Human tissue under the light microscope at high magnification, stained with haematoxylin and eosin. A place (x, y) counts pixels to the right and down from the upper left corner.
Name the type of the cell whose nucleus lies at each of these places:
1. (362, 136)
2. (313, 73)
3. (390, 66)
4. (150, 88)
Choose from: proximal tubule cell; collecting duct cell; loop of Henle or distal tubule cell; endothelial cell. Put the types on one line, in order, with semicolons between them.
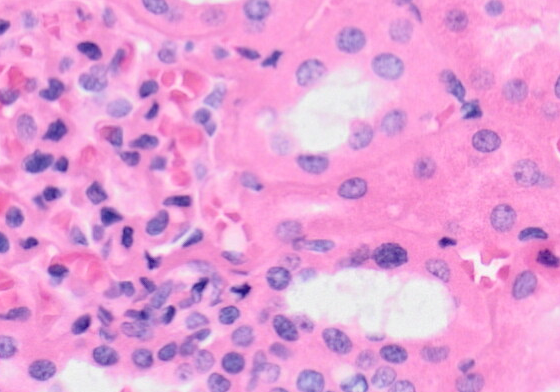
loop of Henle or distal tubule cell; loop of Henle or distal tubule cell; loop of Henle or distal tubule cell; endothelial cell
